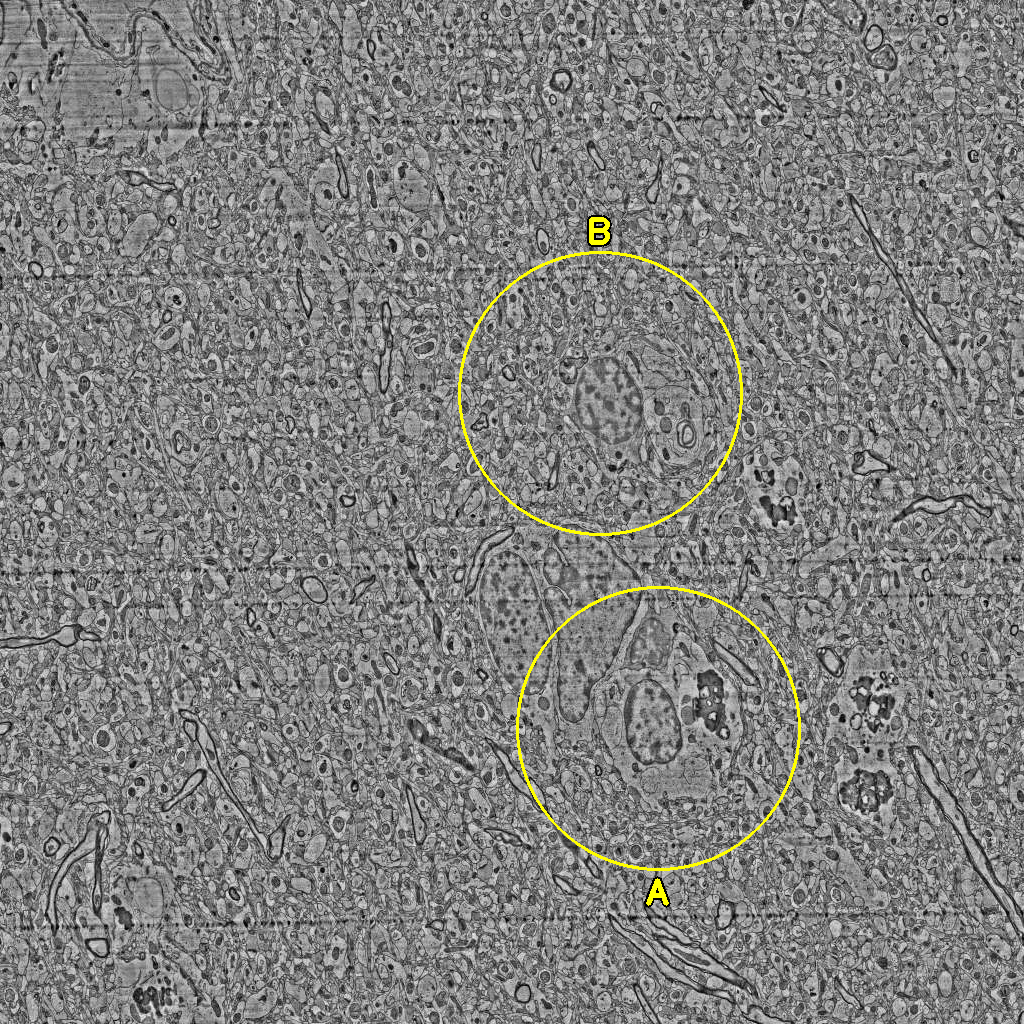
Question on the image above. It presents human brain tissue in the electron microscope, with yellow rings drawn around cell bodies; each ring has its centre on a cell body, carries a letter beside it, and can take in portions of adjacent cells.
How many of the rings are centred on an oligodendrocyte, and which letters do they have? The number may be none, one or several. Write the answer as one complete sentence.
Of the yellow rings shown, only one centres on an oligodendrocyte, and its label is B.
